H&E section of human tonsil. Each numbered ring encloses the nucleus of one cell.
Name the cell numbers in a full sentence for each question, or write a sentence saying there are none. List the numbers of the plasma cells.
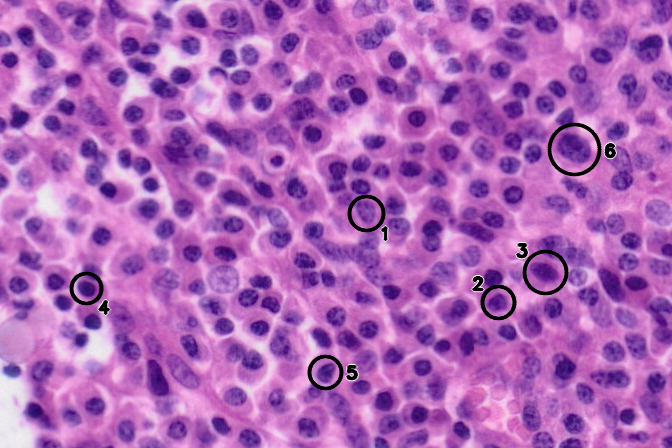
The cells with numbers 1, 2, 4 and 5 are plasma cells by type.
